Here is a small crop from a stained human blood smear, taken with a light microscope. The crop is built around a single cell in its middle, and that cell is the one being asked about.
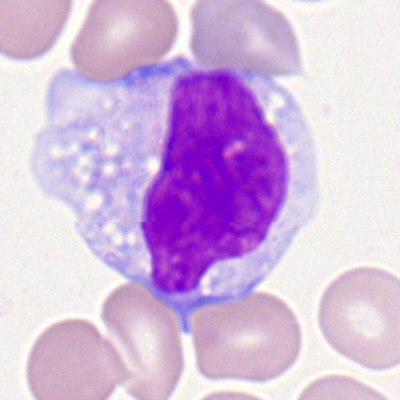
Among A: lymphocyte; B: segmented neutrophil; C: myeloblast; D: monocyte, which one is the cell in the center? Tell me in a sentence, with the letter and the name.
The cell in the middle is correctly identified as a monocyte in option D.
